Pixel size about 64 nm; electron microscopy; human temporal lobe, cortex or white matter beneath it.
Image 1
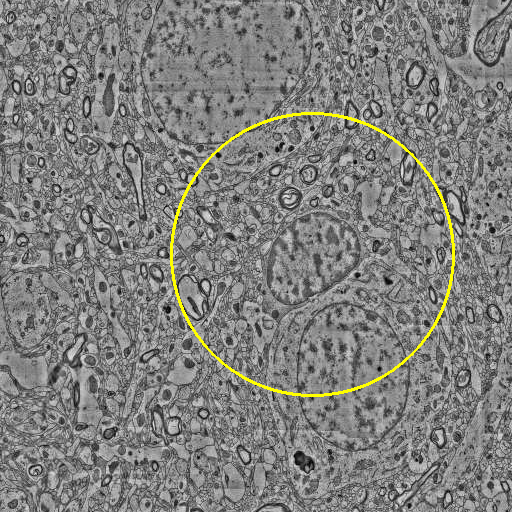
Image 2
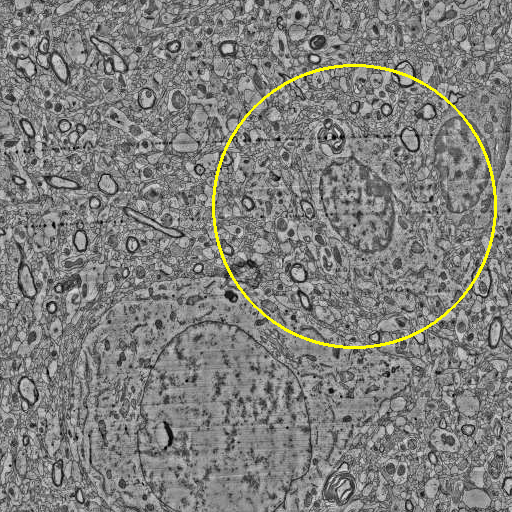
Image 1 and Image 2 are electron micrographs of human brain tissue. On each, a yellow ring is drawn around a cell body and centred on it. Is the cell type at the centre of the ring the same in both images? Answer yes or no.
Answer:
no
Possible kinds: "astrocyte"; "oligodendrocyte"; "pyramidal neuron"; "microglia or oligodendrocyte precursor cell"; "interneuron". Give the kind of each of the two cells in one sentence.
The cell in the second picture is an interneuron, and that in the first is an oligodendrocyte.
